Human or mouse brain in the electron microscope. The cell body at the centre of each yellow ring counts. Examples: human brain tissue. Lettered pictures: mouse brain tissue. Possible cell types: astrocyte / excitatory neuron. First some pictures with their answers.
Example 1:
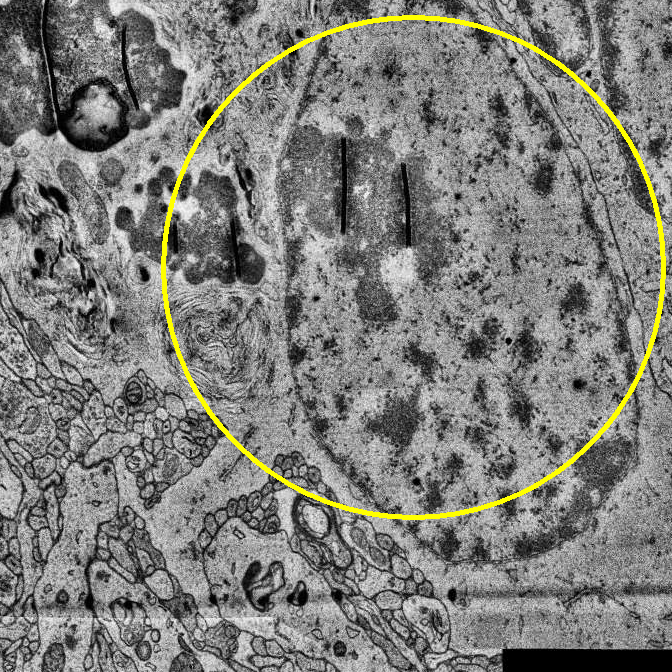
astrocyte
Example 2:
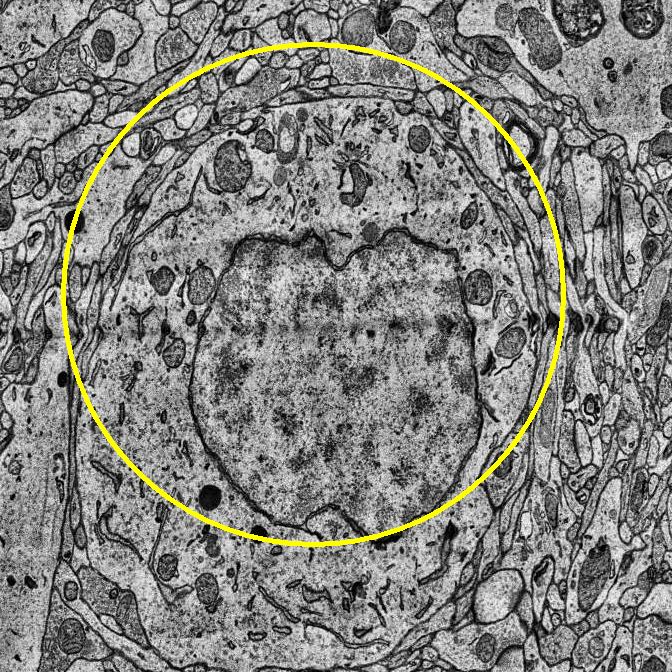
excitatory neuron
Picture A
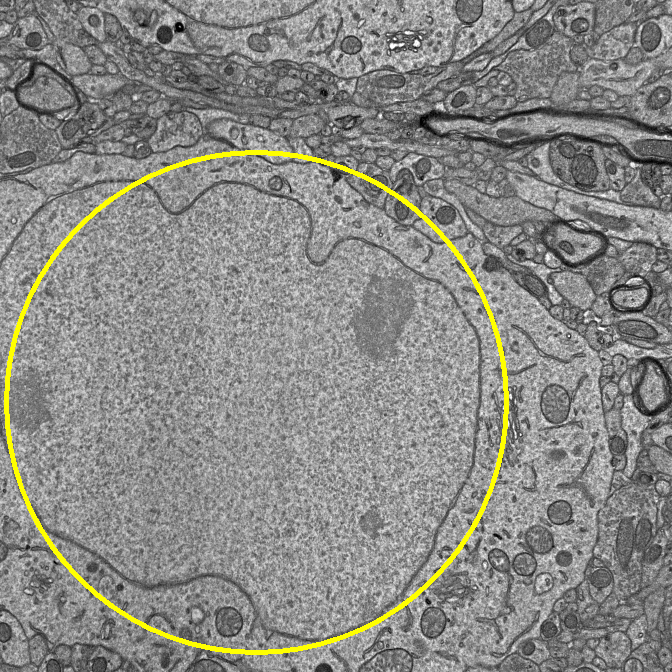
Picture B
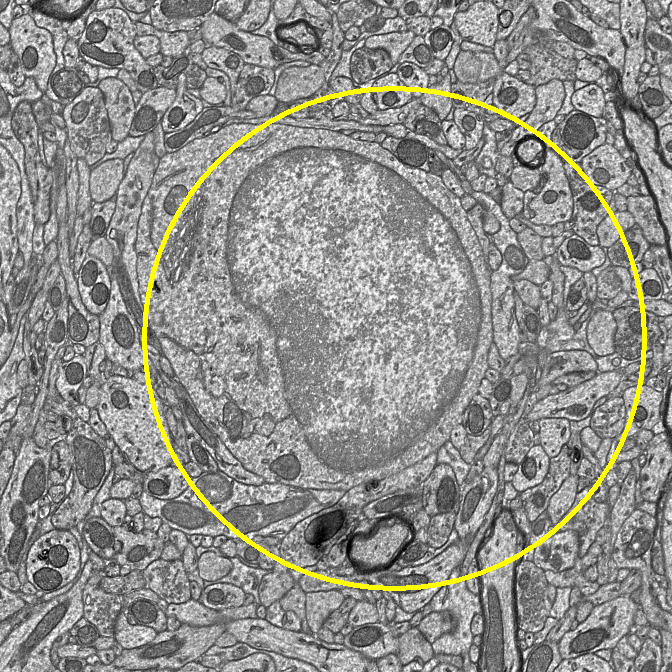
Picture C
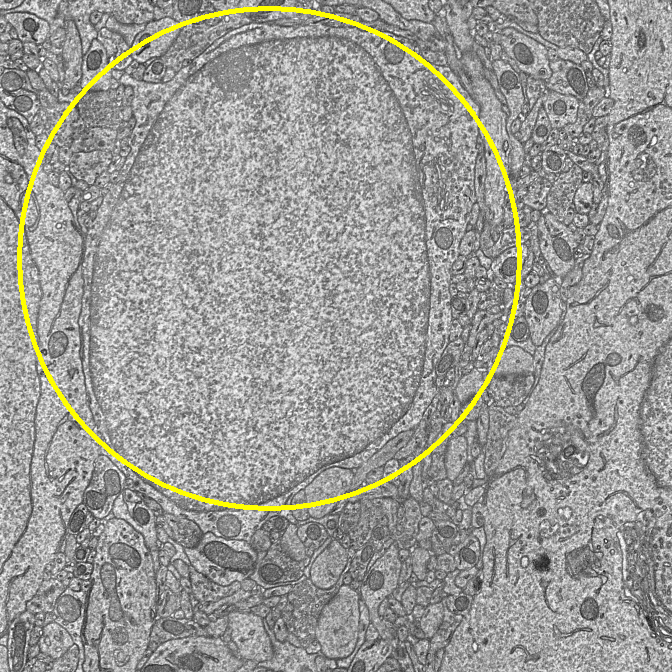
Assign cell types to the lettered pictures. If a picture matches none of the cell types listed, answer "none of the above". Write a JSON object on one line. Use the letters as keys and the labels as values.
{"A": "excitatory neuron", "B": "none of the above", "C": "astrocyte"}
